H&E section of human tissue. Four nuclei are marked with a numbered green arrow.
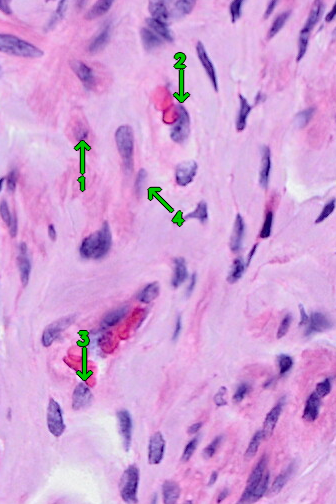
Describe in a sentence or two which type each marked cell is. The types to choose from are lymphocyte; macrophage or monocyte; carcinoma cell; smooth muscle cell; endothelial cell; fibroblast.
Cell 1 is a smooth muscle cell, cell 2 is an endothelial cell, cell 3 is an endothelial cell and cell 4 is a smooth muscle cell.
